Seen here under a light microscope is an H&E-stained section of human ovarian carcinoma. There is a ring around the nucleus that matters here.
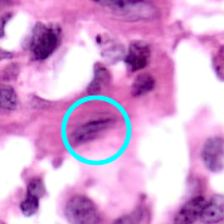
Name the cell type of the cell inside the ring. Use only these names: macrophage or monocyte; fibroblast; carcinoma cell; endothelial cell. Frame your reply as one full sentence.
The identity of the cell inside the ring: it is an endothelial cell.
